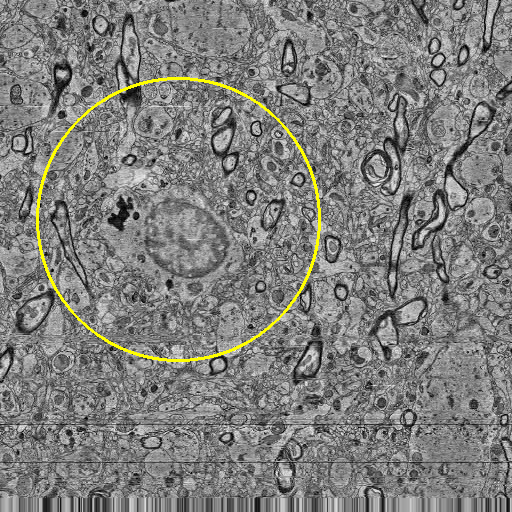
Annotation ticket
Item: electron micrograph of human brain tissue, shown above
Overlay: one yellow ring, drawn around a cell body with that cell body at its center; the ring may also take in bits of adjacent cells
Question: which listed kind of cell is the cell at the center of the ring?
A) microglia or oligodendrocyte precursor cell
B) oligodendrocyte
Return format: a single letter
B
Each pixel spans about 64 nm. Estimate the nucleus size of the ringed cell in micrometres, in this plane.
The nucleus measures about 6 by 5 micrometres in this plane.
